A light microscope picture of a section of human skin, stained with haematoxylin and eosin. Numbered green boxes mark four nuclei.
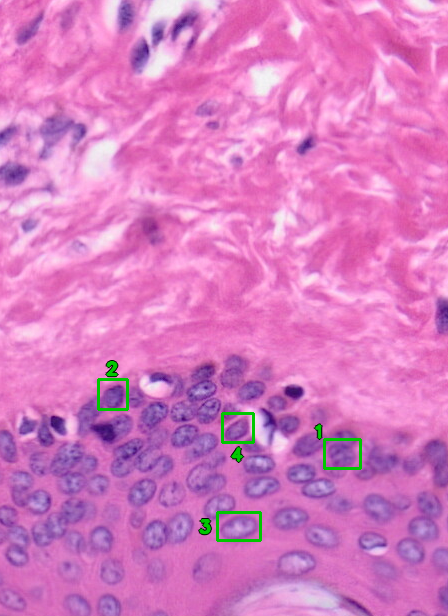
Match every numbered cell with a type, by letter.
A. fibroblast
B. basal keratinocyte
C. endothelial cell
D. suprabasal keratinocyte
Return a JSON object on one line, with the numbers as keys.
{"1": "B", "2": "B", "3": "D", "4": "B"}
